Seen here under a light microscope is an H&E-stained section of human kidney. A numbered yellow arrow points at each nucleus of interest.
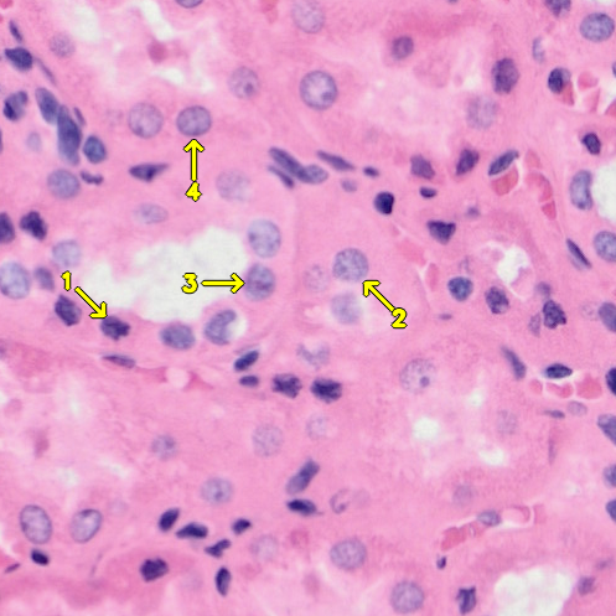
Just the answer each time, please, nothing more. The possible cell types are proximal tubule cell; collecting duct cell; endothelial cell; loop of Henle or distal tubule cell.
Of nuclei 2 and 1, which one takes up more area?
2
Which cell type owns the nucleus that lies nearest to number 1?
endothelial cell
